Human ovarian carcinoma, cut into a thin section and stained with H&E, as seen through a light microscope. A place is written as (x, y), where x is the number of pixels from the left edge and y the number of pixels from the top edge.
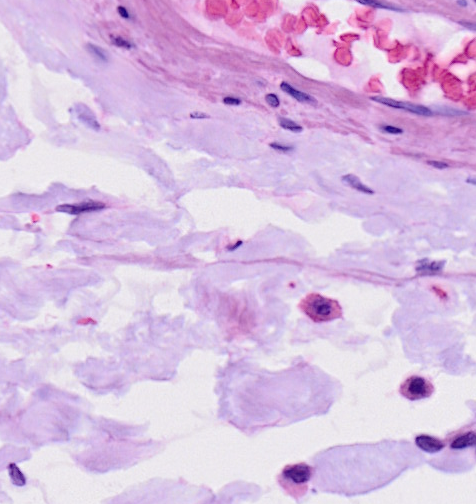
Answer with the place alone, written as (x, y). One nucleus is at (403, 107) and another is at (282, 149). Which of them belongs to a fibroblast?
(282, 149)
